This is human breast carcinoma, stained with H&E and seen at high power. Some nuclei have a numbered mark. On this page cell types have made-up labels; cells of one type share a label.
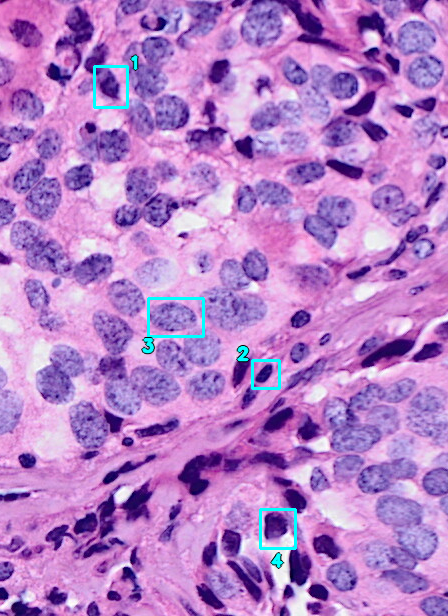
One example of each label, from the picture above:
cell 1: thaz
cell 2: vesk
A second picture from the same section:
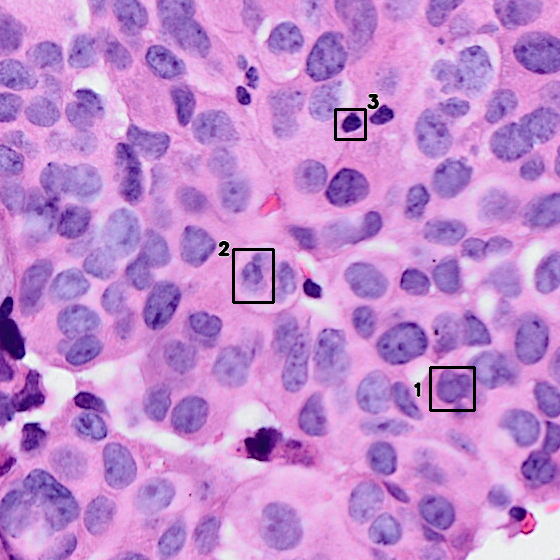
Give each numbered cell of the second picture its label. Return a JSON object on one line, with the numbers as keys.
{"1": "thaz", "2": "thaz", "3": "vesk"}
